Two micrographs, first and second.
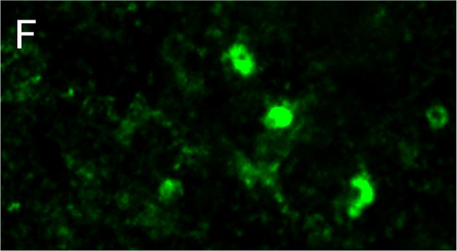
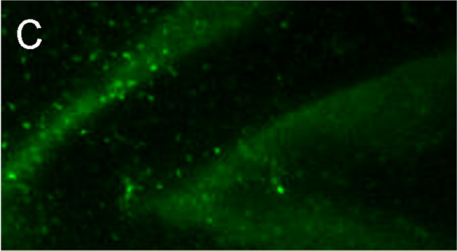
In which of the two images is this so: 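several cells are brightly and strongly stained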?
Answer: The first image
